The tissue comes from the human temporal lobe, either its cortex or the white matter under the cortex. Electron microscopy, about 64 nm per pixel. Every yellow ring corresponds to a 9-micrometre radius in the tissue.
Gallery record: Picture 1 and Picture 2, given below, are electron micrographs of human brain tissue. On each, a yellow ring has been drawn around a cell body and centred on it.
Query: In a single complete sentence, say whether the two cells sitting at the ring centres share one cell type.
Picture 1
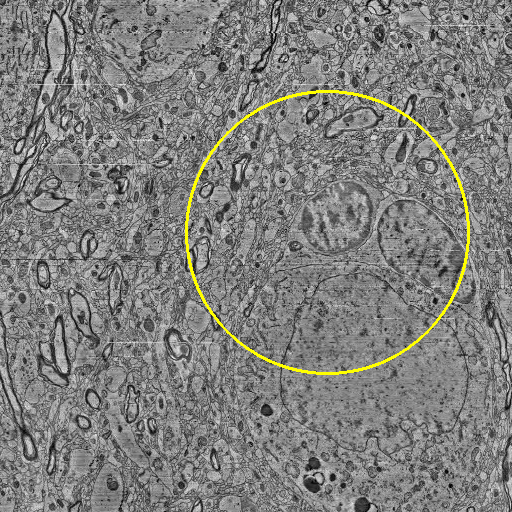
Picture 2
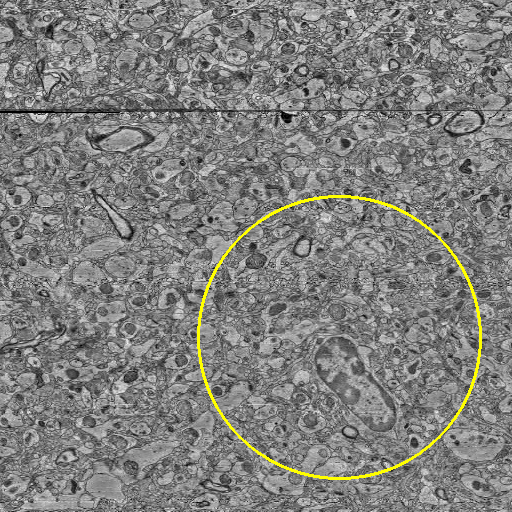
No, in the two pictures the cells at the rings' centres are of two separate types.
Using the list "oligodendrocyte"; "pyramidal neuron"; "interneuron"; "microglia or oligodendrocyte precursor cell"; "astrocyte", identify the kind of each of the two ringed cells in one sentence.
The first is an oligodendrocyte and the second is a microglial cell or oligodendrocyte precursor cell.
